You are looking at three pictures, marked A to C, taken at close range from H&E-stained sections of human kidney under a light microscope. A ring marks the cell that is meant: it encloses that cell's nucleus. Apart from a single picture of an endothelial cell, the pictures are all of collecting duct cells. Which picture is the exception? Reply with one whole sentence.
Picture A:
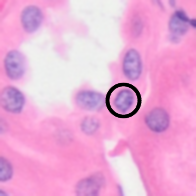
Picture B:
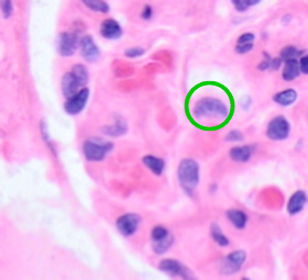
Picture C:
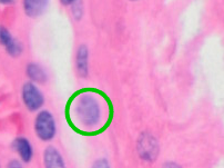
Picture B shows the endothelial cell.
